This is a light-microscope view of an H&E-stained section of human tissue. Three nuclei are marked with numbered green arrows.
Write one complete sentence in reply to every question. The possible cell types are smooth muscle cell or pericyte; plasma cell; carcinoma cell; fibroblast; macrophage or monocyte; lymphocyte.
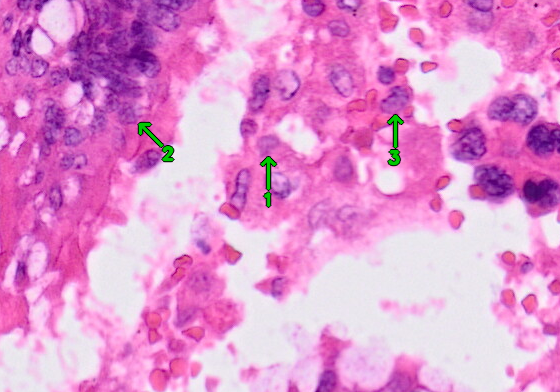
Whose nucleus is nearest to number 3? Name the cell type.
It is a lymphocyte whose nucleus is nearest to number 3.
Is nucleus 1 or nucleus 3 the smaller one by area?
Number 1 is smaller, since number 3 takes up about 1.5 times as much area.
